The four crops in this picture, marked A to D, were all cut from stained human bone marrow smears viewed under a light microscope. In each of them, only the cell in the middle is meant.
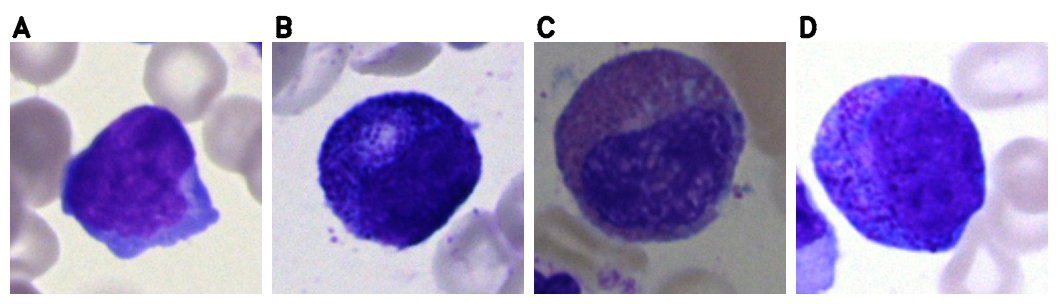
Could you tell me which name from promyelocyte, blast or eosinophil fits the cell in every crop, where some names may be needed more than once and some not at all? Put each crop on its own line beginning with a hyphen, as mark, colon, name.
- A: blast
- B: promyelocyte
- C: eosinophil
- D: promyelocyte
